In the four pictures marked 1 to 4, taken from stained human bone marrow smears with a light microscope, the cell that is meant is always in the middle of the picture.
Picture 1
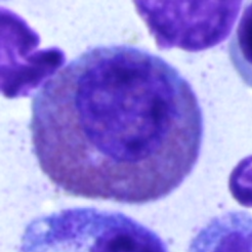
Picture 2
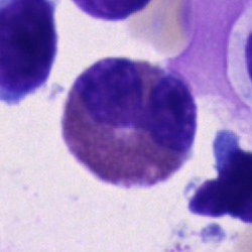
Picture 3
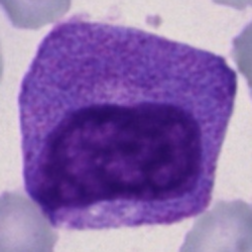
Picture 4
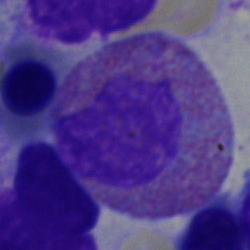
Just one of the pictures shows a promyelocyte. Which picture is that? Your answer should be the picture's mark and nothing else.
3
